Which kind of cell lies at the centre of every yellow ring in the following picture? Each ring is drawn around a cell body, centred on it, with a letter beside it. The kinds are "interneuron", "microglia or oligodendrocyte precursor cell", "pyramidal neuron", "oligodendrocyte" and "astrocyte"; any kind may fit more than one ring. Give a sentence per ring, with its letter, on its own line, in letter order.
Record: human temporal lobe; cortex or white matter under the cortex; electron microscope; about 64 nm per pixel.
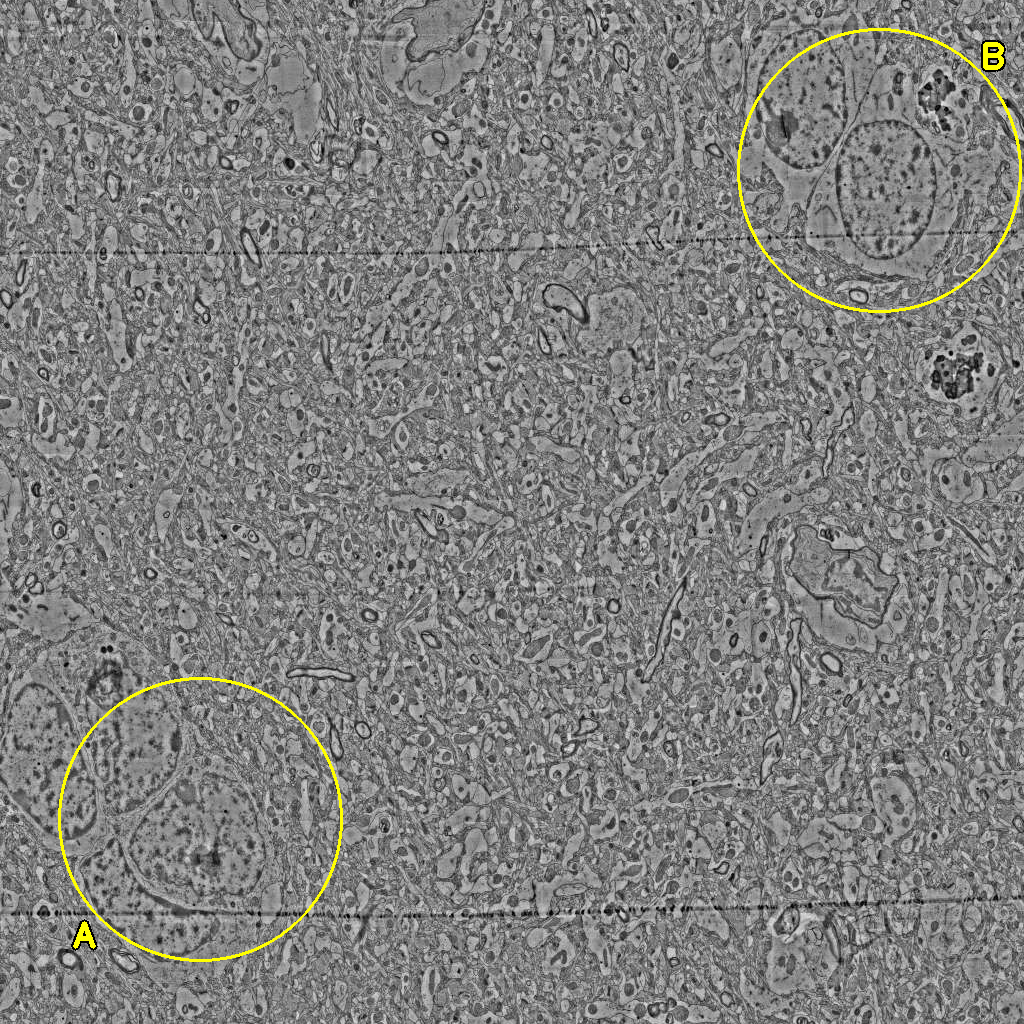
The cell body centred in ring A is that of an interneuron.
The cell body centred in ring B is that of an astrocyte.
